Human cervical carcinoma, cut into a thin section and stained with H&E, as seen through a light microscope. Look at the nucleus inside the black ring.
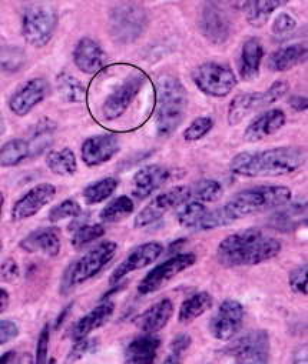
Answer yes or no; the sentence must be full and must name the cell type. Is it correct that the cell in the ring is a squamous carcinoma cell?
Yes, calling the cell in the ring a squamous carcinoma cell is correct.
